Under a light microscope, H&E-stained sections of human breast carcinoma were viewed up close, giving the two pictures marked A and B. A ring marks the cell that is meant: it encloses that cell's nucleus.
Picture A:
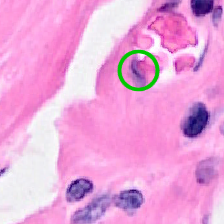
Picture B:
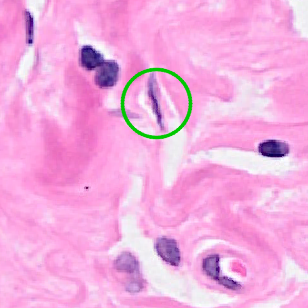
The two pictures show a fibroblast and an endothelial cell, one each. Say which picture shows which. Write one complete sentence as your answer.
Picture A is of an endothelial cell, and picture B is of a fibroblast.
